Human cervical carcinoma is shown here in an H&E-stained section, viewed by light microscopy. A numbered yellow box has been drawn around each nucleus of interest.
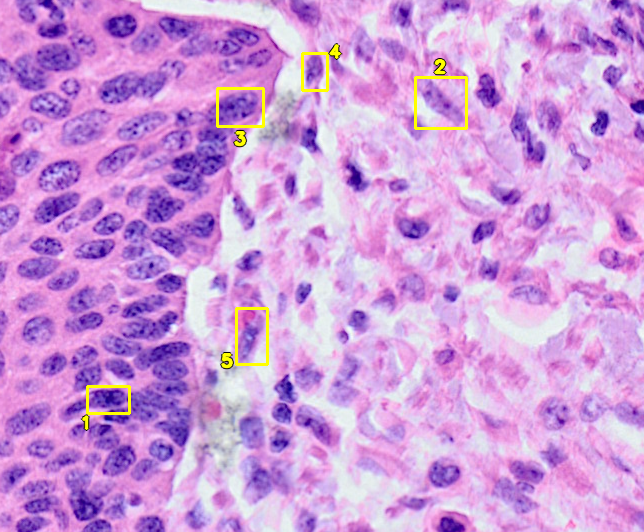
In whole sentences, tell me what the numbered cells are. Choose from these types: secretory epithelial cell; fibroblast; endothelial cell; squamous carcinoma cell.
Cells 1 and 3 are squamous carcinoma cells. Cells 2 and 4 are fibroblasts. Cell 5 is an endothelial cell.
